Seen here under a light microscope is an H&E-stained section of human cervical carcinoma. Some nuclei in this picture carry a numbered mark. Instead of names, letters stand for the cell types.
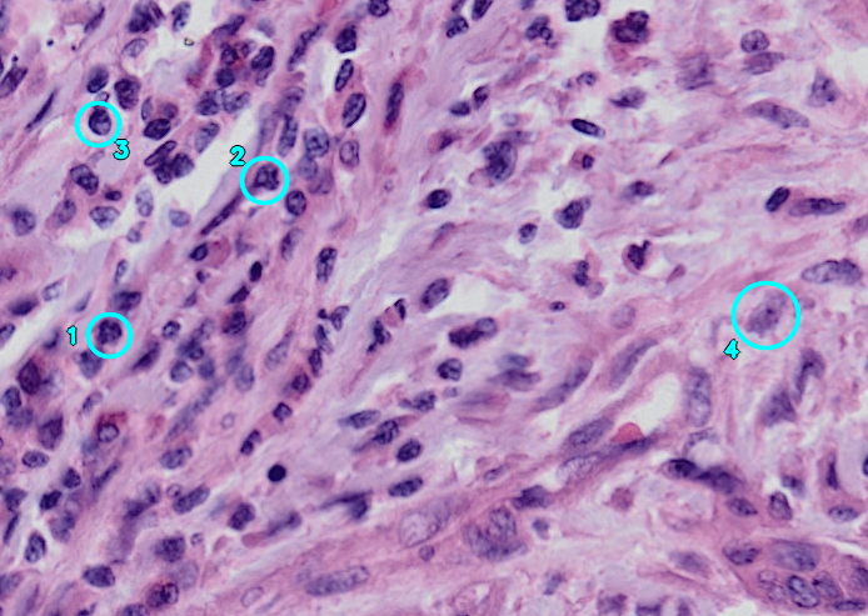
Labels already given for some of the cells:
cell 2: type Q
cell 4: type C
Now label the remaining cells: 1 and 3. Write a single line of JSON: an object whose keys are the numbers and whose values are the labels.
{"1": "type Q", "3": "type Q"}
